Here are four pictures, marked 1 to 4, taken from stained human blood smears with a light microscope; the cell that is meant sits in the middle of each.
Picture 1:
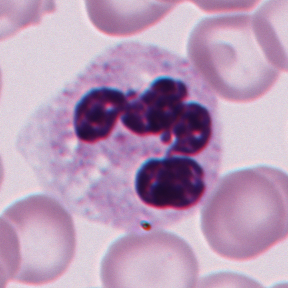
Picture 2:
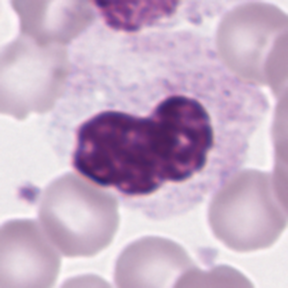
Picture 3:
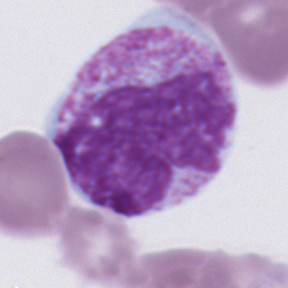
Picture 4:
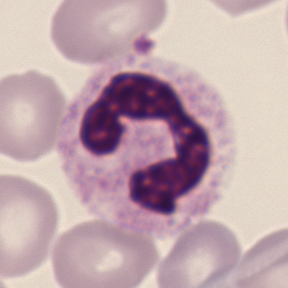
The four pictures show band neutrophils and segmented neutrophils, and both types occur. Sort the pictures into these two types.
1: segmented neutrophil
2: segmented neutrophil
3: band neutrophil
4: segmented neutrophil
